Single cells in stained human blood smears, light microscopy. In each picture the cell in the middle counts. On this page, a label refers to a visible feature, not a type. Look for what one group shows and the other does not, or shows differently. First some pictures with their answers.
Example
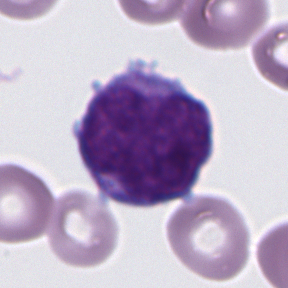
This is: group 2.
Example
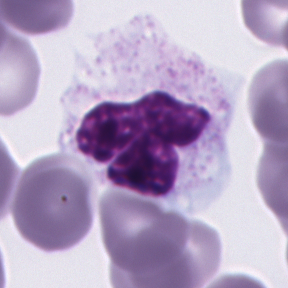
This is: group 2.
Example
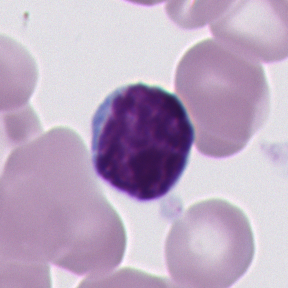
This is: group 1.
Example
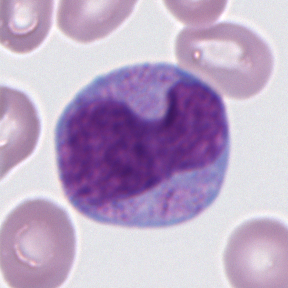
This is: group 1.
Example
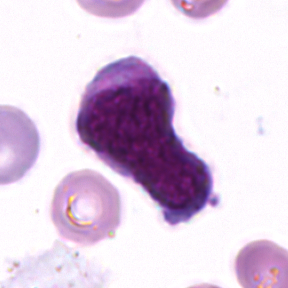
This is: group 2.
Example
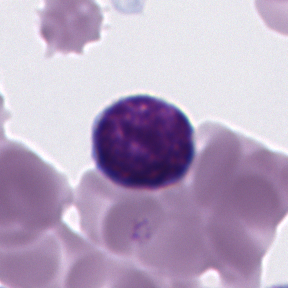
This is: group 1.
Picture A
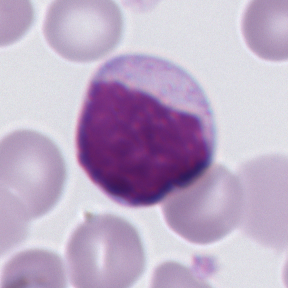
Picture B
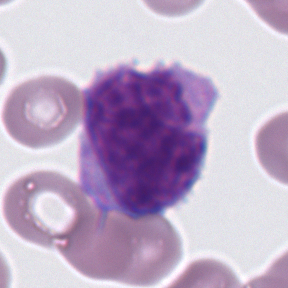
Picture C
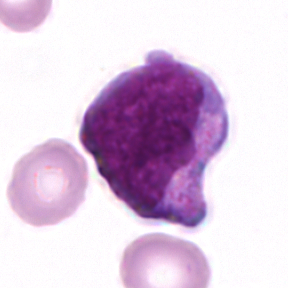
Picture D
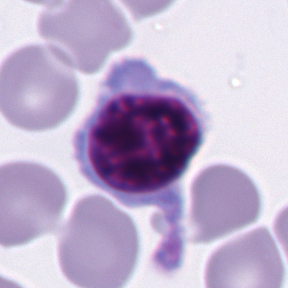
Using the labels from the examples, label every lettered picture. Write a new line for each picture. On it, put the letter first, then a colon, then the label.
A: group 1.
B: group 2.
C: group 2.
D: group 2.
